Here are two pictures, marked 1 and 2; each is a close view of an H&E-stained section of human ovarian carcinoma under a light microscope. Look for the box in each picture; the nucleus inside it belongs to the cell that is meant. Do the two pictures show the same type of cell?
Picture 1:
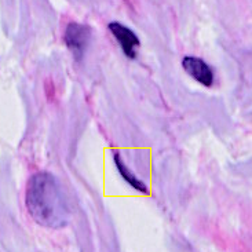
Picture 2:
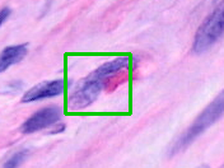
no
